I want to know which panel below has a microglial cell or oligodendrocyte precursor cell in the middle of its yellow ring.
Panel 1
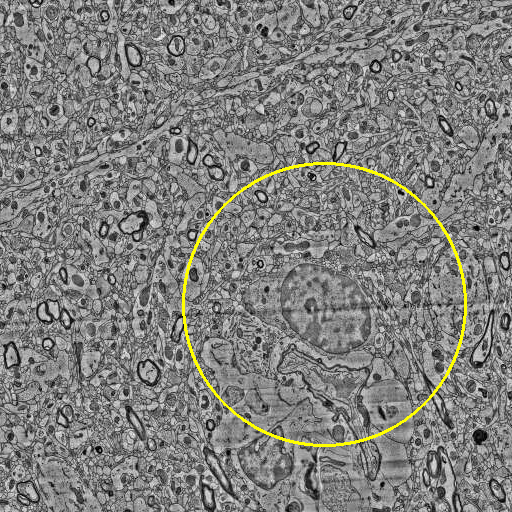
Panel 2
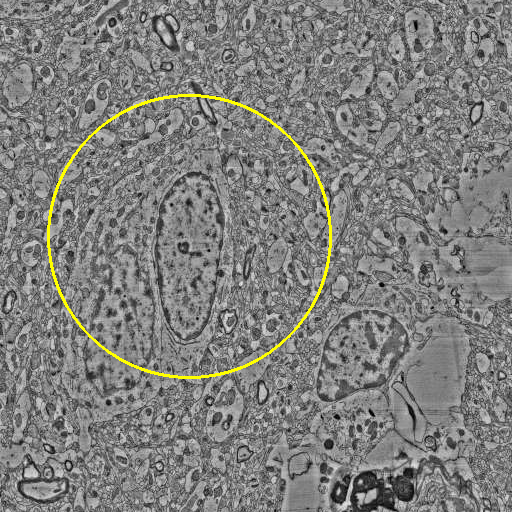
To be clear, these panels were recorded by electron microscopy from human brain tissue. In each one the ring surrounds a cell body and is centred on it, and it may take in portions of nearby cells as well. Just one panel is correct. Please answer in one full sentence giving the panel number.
Panel 2 has the requested cell sitting at the centre of its ring.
